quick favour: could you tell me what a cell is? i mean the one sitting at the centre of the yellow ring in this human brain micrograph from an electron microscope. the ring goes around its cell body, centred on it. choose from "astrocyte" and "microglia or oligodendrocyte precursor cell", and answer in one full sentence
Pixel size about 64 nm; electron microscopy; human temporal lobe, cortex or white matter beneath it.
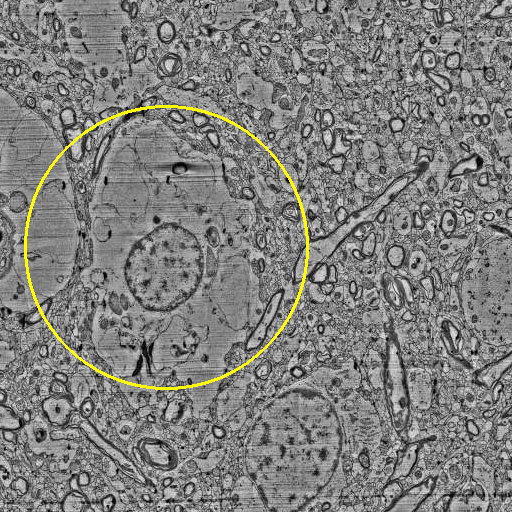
That's an astrocyte, the cell sitting at the centre of the yellow ring.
